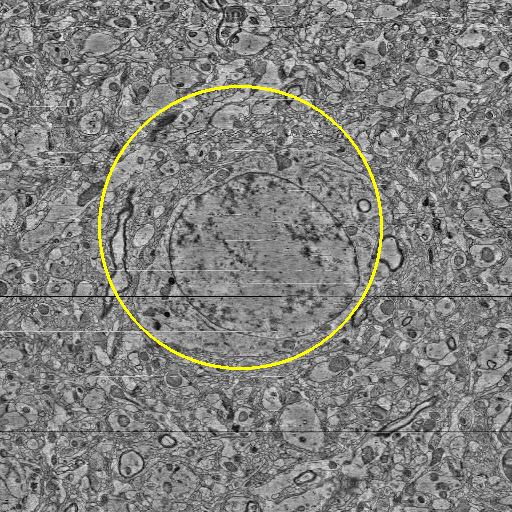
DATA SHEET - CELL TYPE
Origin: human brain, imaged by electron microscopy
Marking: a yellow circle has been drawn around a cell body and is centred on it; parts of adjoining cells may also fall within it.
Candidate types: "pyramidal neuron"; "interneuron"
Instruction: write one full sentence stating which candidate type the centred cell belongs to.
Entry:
The cell body at the centre of the yellow ring in this micrograph belongs to a pyramidal neuron.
